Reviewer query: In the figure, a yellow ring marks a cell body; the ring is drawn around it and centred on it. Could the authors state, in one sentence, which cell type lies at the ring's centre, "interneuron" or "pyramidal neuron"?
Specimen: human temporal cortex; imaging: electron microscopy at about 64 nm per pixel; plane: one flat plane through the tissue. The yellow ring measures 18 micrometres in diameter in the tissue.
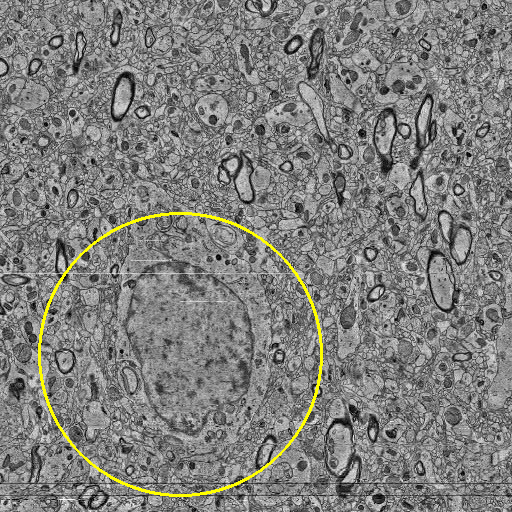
The ring is centred on an interneuron.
